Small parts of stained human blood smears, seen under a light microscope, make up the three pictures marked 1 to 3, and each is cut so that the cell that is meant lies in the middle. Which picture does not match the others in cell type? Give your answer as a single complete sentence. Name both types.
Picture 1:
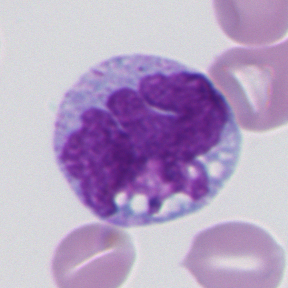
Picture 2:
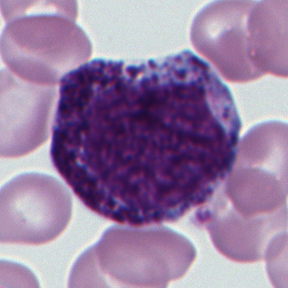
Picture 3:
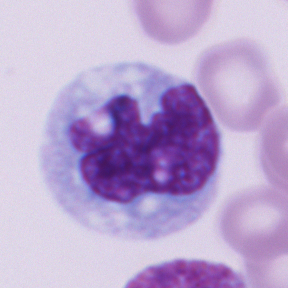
Picture 2 is the odd one out: it shows a promyelocyte, while the others show monocytes.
